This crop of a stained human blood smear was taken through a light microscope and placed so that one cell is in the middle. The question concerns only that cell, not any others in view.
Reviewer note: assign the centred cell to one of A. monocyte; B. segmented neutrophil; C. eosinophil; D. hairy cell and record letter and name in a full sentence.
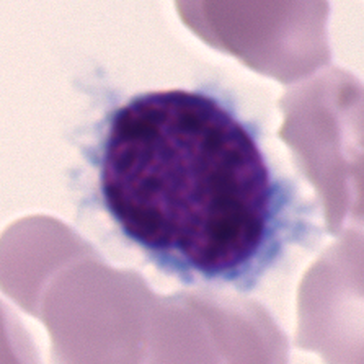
Option D holds, for the cell in the middle is a hairy cell.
